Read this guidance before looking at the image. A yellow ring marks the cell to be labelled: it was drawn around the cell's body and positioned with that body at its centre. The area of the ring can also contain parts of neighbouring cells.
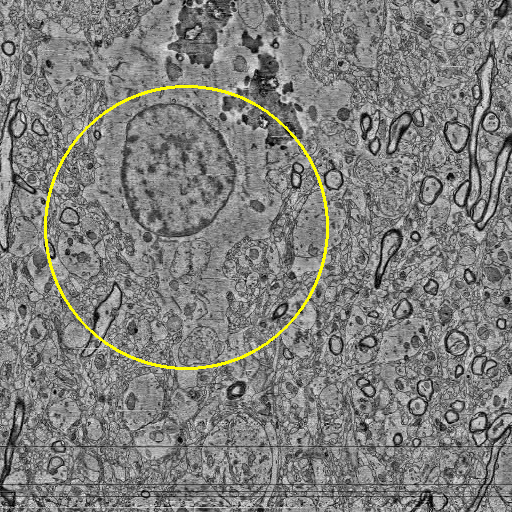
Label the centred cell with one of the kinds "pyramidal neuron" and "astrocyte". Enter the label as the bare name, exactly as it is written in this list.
astrocyte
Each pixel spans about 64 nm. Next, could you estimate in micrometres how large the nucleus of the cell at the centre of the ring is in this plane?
Approximately 9 by 7 micrometers in this plane.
